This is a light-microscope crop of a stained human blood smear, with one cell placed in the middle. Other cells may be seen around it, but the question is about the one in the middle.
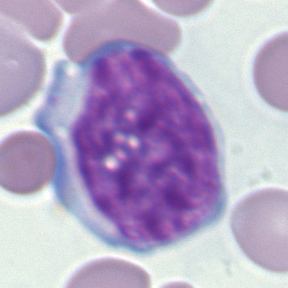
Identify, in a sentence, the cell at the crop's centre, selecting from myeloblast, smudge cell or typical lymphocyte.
In the crop, the cell of interest at the centre is a myeloblast.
